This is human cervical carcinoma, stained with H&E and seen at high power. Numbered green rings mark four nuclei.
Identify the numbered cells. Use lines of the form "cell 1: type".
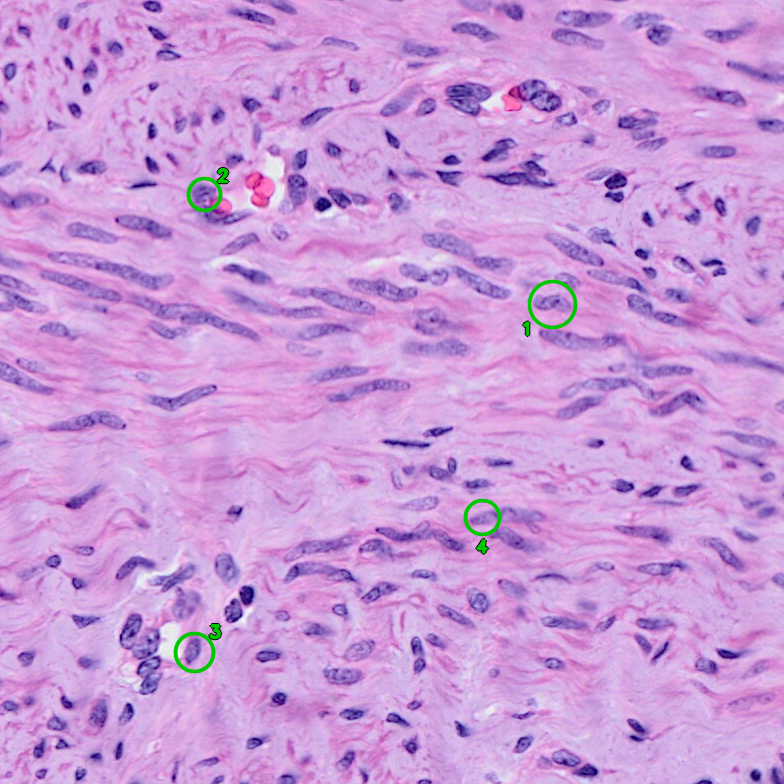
cell 1: smooth muscle cell
cell 2: endothelial cell
cell 3: endothelial cell
cell 4: smooth muscle cell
